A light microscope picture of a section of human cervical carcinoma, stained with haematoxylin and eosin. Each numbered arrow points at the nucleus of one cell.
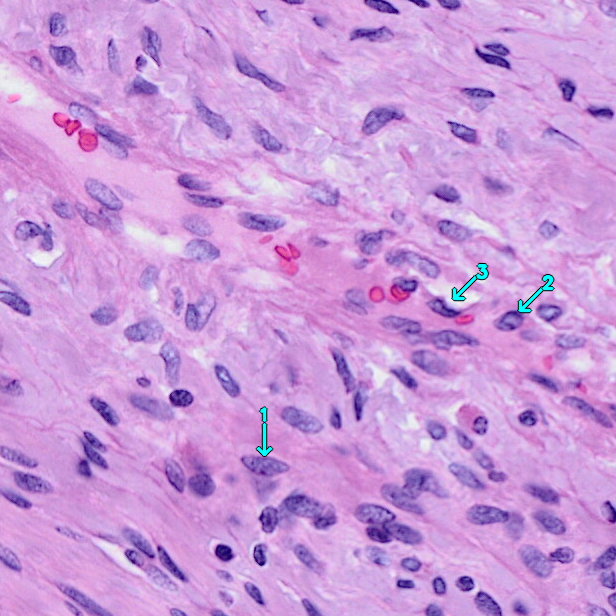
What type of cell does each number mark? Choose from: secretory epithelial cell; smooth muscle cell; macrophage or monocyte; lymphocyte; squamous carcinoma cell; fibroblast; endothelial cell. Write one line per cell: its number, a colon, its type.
1: fibroblast
2: endothelial cell
3: endothelial cell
